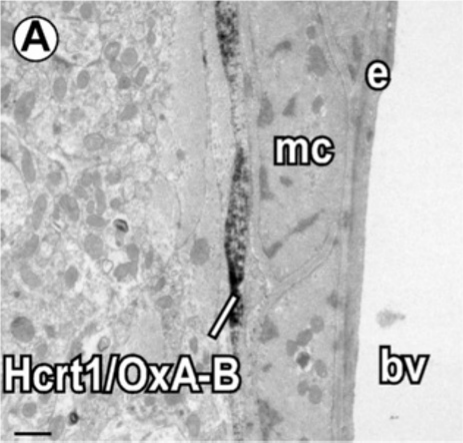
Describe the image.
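This is the wall of a small blood vessel in brain tissue, with neuropil on the left, a band of muscle cell in the middle and a thin endothelial lining next to the pale lumen on the right. The neuropil on the left is packed with membrane-bound profiles, many holding mitochondria.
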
